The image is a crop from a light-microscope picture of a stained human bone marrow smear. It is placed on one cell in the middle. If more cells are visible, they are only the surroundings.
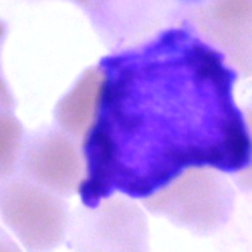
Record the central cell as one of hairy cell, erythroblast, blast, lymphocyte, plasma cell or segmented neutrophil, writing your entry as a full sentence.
At the crop's centre, the cell is a blast.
